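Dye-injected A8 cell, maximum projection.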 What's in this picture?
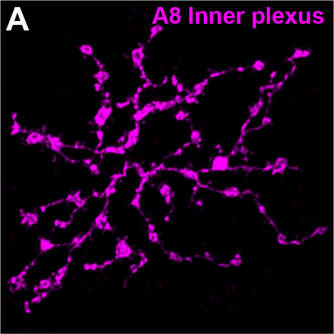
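A field of thin magenta processes radiates outward from near the centre, branching several times as it spreads across the frame. Along each branch sit many rounded swellings, giving the processes a beaded look, with a few larger blobs scattered among them. No large cell body occupies the view, only this flat plexus of fine branches.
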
